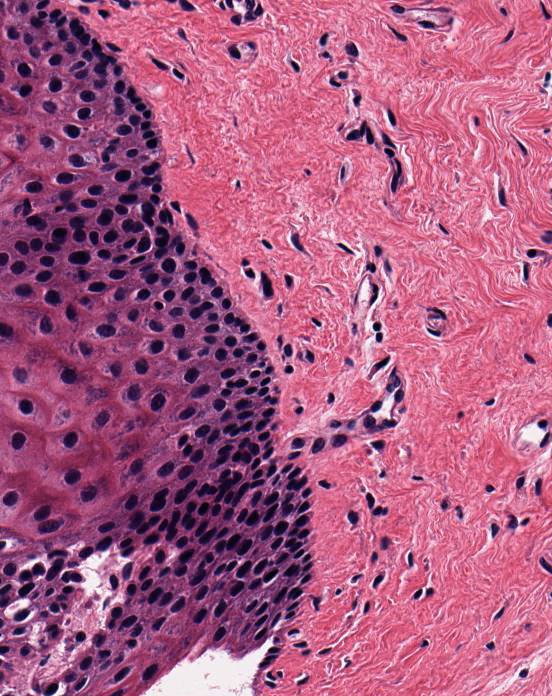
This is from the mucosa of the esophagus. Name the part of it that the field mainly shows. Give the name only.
loose connective tissue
